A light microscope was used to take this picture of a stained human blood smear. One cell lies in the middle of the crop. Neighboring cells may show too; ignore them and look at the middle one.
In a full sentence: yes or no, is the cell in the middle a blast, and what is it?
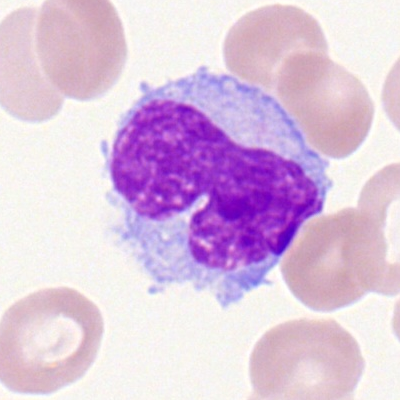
No, the central cell is classed as a monocyte and not as a blast.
